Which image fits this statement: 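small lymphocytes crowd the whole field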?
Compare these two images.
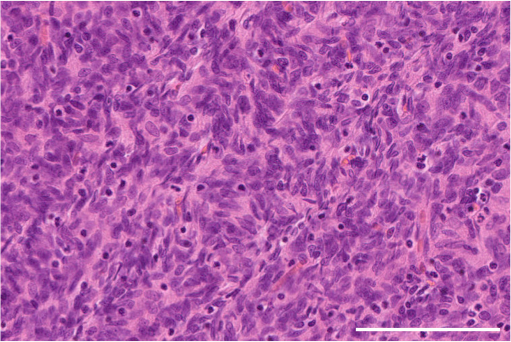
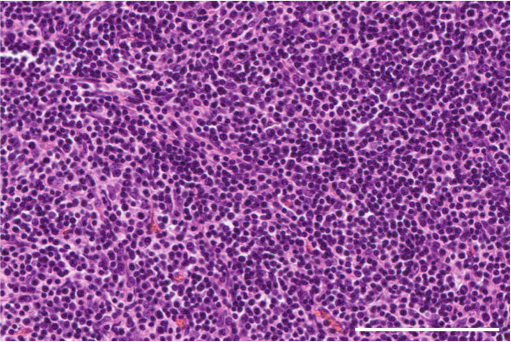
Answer: the second image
